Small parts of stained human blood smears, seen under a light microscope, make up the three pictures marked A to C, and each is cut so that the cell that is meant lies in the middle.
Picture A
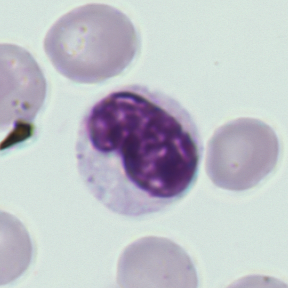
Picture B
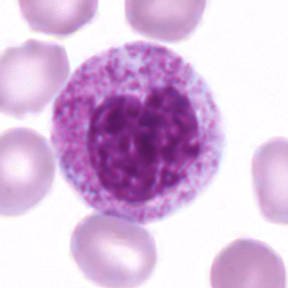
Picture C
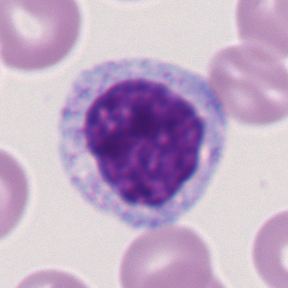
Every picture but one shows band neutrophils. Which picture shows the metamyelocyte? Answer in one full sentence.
The cell in picture C is the metamyelocyte.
